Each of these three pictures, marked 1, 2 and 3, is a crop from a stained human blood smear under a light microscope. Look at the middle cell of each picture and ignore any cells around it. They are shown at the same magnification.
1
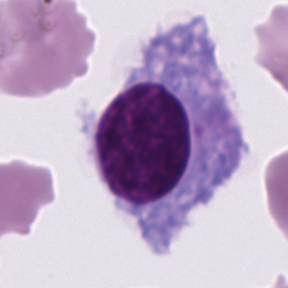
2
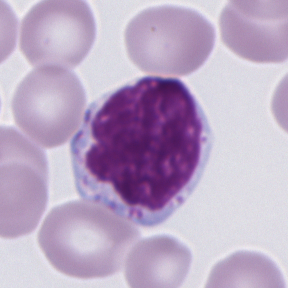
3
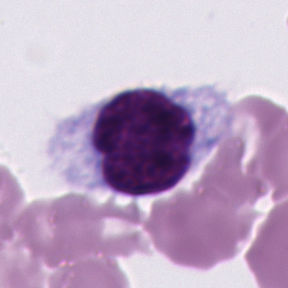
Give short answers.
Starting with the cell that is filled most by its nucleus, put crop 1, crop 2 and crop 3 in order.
2, 3, 1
